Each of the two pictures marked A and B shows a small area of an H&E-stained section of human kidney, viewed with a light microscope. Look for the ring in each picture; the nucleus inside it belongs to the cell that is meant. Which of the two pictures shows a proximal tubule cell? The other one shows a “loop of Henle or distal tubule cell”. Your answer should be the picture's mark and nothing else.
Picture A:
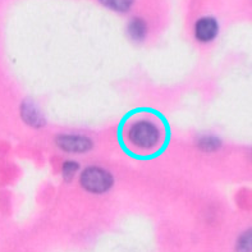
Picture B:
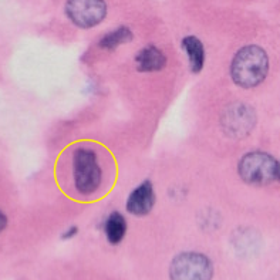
B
